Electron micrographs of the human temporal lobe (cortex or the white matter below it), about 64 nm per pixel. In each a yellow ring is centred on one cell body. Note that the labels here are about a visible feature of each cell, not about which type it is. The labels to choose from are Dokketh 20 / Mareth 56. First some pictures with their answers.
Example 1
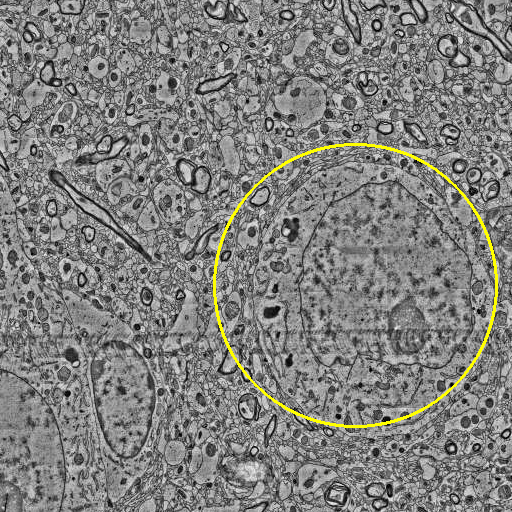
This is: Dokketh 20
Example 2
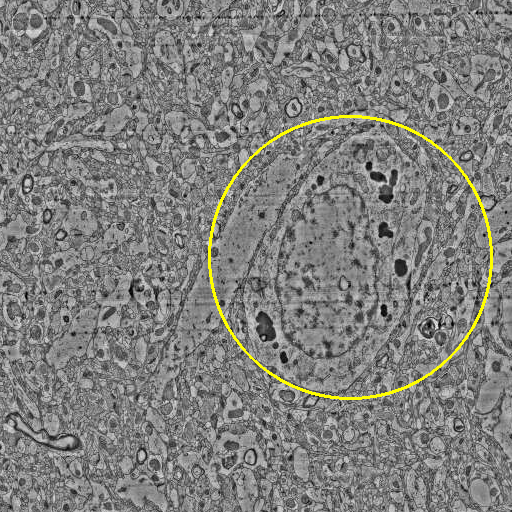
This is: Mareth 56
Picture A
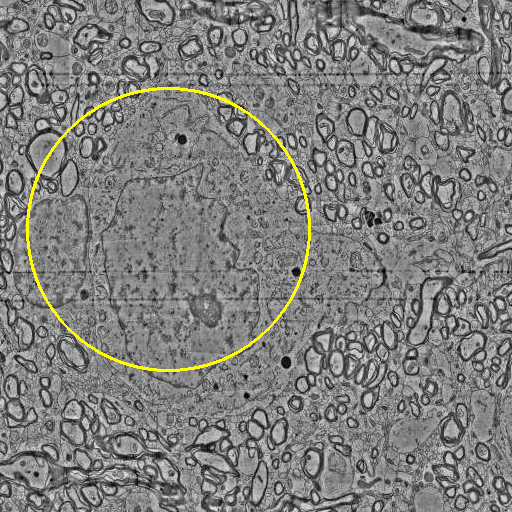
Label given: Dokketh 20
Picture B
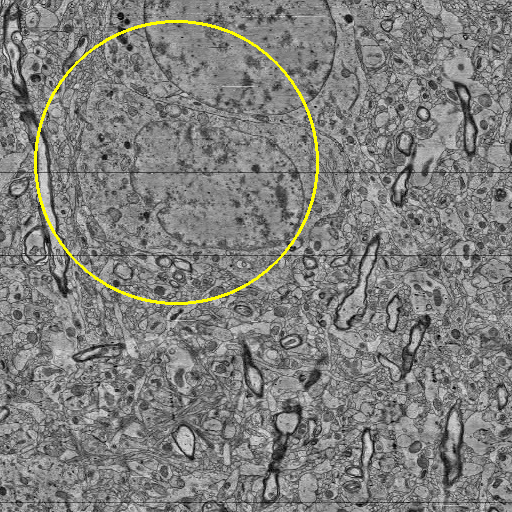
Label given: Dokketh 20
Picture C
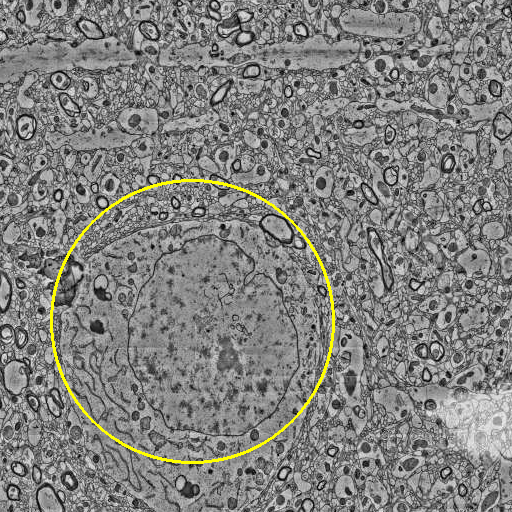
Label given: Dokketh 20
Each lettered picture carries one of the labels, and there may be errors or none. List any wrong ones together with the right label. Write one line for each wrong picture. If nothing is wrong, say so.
Nothing to fix; every label fits.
